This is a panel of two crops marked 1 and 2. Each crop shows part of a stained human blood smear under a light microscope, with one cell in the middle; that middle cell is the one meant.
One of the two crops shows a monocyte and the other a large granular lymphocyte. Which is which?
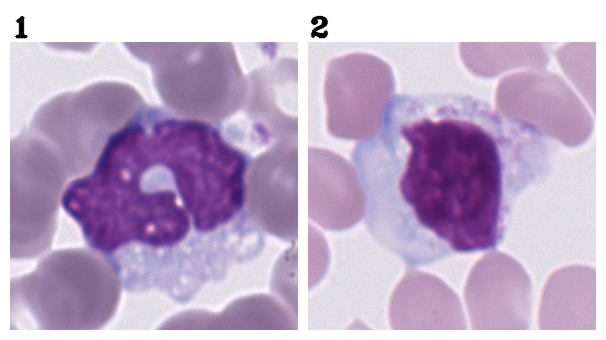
1: monocyte
2: large granular lymphocyte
